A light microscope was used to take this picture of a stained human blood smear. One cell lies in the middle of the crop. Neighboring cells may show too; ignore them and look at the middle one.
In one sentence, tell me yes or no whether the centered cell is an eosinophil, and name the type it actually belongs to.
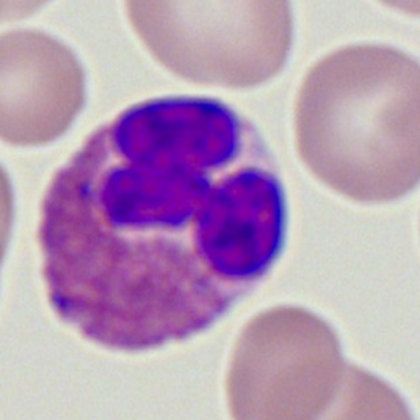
Yes, as for the central cell, it is an eosinophil.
